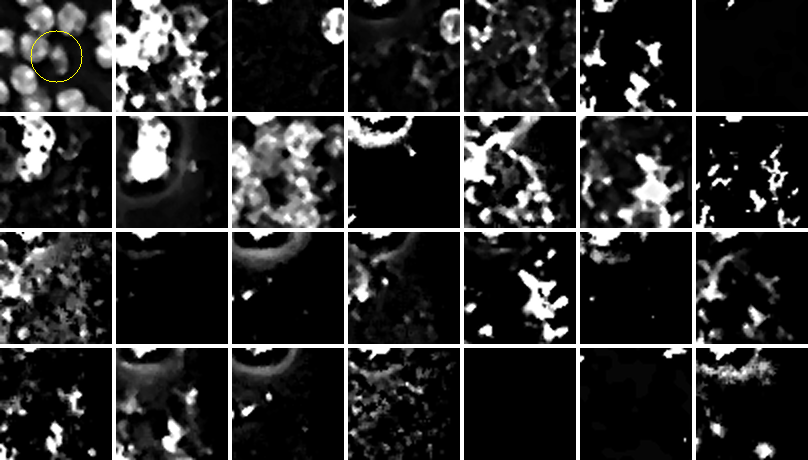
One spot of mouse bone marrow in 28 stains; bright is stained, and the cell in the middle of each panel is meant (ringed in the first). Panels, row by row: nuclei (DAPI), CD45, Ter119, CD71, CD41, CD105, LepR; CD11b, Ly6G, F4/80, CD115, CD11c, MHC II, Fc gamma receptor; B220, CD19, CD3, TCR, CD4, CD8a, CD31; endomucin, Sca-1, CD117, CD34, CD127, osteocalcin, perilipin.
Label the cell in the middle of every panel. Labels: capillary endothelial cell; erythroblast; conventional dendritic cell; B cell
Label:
conventional dendritic cell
